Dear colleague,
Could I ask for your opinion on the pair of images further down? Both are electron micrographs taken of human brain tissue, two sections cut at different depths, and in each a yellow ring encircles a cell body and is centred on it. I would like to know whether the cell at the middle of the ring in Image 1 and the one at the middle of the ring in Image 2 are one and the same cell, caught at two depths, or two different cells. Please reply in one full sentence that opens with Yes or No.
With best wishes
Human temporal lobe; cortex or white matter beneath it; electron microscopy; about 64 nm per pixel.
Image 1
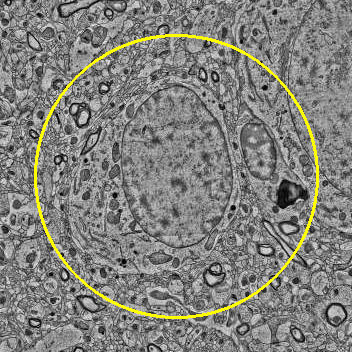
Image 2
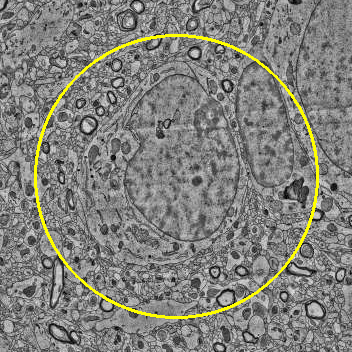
Yes, the cell inside the first ring is the cell inside the second.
